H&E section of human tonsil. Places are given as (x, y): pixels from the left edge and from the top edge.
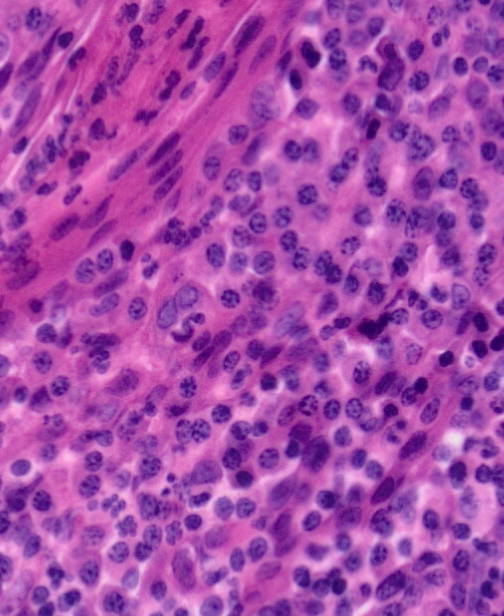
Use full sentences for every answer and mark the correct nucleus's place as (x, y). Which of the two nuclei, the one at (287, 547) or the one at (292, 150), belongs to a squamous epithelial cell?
So, of the two, the nucleus at (287, 547) is the one belonging to a squamous epithelial cell.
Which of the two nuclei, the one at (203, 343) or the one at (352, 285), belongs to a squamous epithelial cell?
Lying within a squamous epithelial cell is the nucleus at (203, 343).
